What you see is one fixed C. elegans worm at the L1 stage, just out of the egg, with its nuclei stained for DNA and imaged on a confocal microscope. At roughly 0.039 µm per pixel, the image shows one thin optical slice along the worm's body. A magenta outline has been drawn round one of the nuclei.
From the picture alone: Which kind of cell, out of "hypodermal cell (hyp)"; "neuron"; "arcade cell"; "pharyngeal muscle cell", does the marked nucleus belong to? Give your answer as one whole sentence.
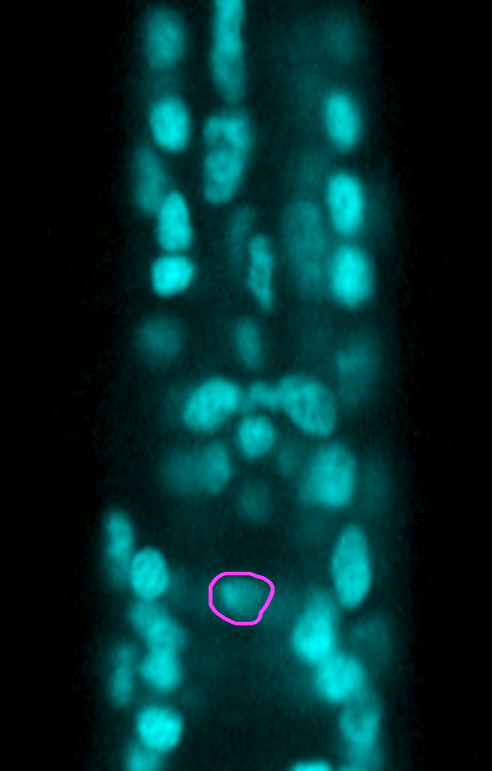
The marked nucleus belongs to a neuron.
